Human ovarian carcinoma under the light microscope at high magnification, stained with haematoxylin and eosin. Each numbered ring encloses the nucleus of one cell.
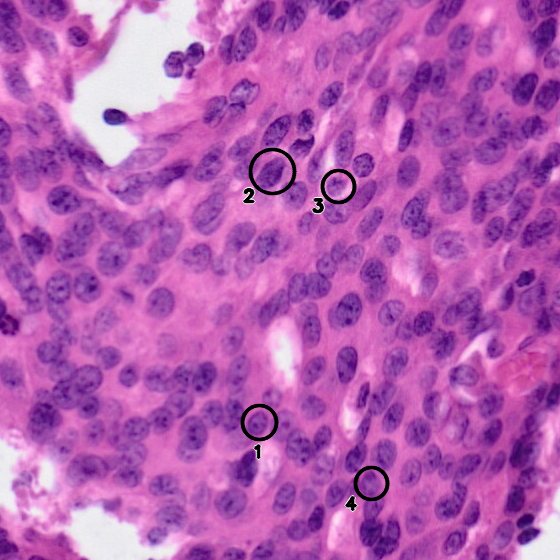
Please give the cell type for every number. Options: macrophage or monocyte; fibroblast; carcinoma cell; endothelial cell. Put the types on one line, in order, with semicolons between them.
carcinoma cell; carcinoma cell; macrophage or monocyte; carcinoma cell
